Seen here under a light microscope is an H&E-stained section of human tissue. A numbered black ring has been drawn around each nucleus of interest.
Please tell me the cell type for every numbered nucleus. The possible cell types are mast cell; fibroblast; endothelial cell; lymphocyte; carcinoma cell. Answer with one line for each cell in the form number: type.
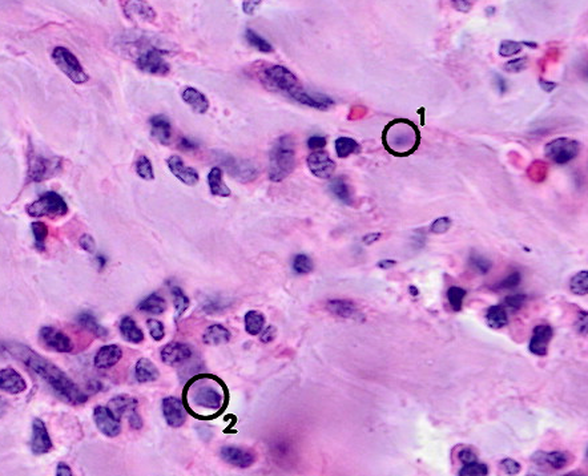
1: mast cell
2: lymphocyte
